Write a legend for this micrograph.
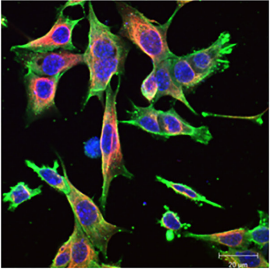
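Many are elongated, spindle-shaped or irregular, with tapering extensions and projections reaching toward neighbouring cells. Each contains one oval blue nucleus occupying much of the cell body. The loose arrangement and drawn-out forms contrast with a tightly packed cobblestone epithelial layer.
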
